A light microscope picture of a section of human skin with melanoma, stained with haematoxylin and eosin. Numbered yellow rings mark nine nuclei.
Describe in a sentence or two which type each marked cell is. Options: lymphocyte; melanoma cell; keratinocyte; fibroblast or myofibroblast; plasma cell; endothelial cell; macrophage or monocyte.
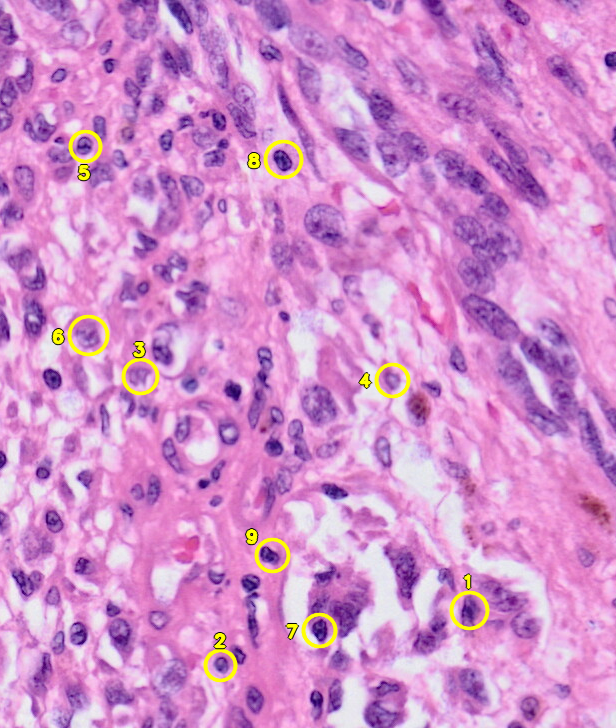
Cell 1 is a macrophage or monocyte, cell 2 is a lymphocyte, cell 3 is a melanoma cell, cell 4 is a macrophage or monocyte, cell 5 is a lymphocyte, cell 6 is a melanoma cell, cell 7 is a lymphocyte, cell 8 is a lymphocyte and cell 9 is a lymphocyte.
